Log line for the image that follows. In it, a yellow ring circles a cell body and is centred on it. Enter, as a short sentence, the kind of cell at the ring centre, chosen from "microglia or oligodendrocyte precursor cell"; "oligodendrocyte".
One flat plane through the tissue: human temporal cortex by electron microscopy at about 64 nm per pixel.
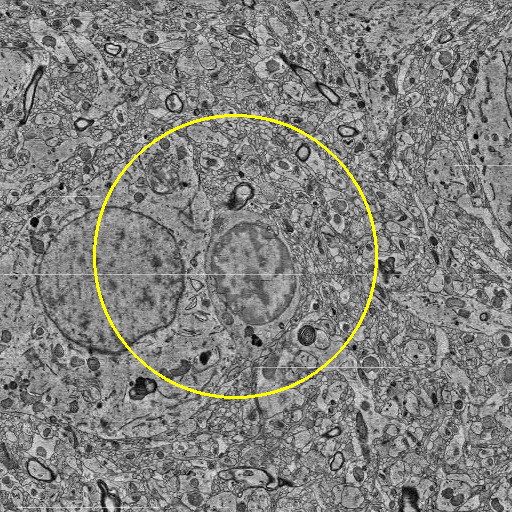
The ring centre is occupied by an oligodendrocyte.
